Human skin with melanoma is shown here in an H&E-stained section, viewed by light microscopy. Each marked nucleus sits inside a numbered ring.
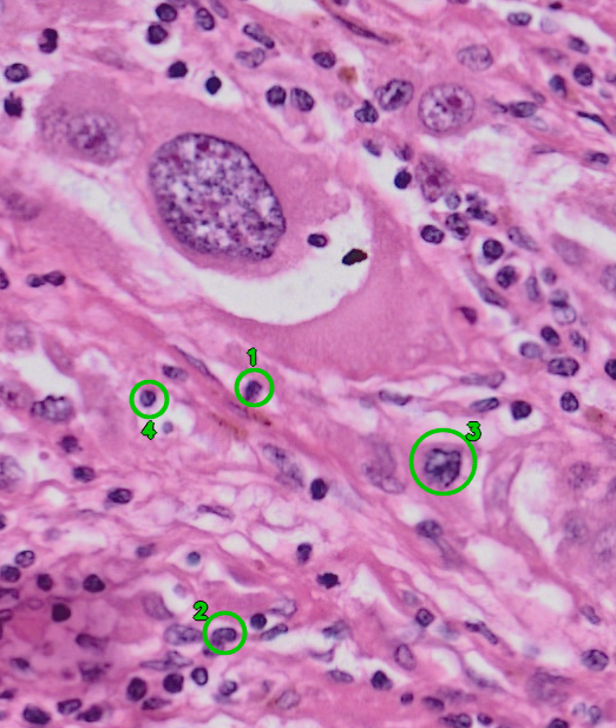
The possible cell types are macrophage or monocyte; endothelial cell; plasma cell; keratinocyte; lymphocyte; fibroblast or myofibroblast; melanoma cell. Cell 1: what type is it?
lymphocyte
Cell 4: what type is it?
lymphocyte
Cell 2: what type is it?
lymphocyte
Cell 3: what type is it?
melanoma cell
